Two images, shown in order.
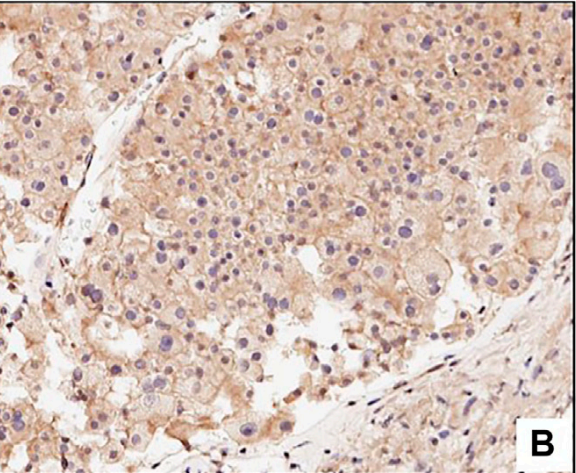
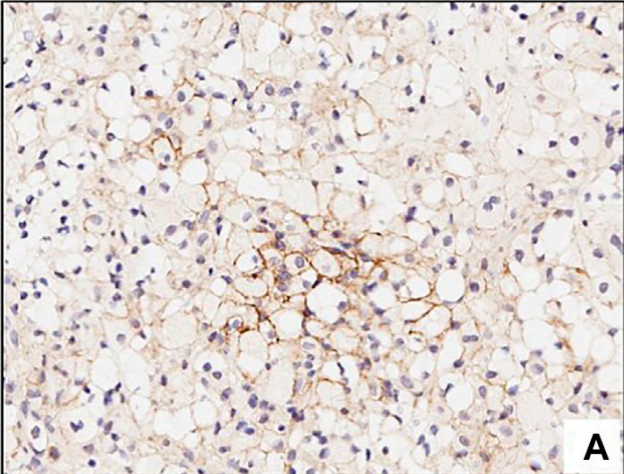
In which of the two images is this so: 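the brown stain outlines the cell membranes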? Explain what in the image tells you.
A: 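The second image. First image: brown colour diffusely fills the cytoplasm without sharp borders. Second image: thin brown lines outline individual cells while their interiors stay clear.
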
